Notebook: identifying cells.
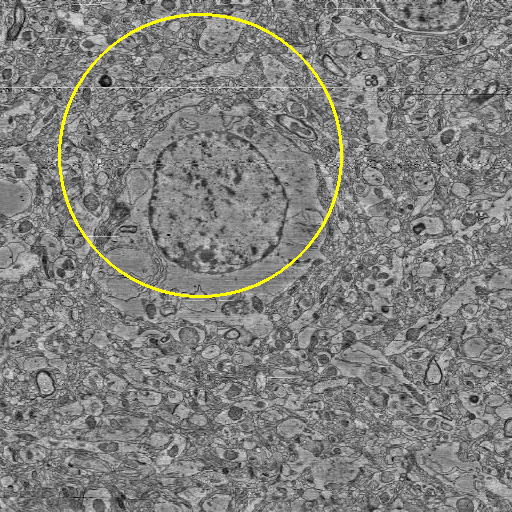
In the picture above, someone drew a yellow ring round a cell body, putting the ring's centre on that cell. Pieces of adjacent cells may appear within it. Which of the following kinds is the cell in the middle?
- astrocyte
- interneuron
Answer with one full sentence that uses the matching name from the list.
In this picture, the yellow ring is centred on the body of an astrocyte.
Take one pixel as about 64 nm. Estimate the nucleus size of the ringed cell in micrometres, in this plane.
In this plane the nucleus measures roughly 9 micrometres across.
